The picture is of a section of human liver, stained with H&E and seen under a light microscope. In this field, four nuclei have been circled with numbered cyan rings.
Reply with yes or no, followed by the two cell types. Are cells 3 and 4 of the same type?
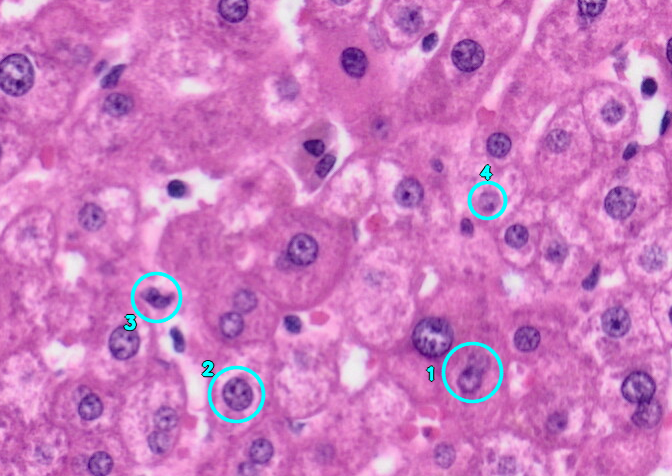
No; cell 3 is a Kupffer cell, and cell 4 is a hepatocyte.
